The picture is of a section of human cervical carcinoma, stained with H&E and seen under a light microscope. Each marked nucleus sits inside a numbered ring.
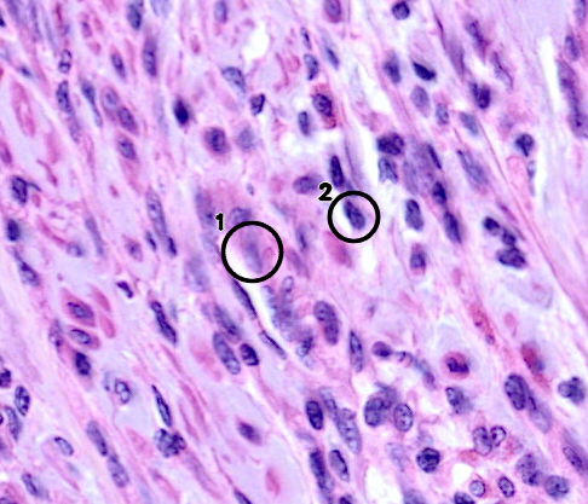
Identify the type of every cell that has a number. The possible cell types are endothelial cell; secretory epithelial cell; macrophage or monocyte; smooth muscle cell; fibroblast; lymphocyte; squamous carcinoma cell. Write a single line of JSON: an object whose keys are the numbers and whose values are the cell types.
{"1": "endothelial cell", "2": "lymphocyte"}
